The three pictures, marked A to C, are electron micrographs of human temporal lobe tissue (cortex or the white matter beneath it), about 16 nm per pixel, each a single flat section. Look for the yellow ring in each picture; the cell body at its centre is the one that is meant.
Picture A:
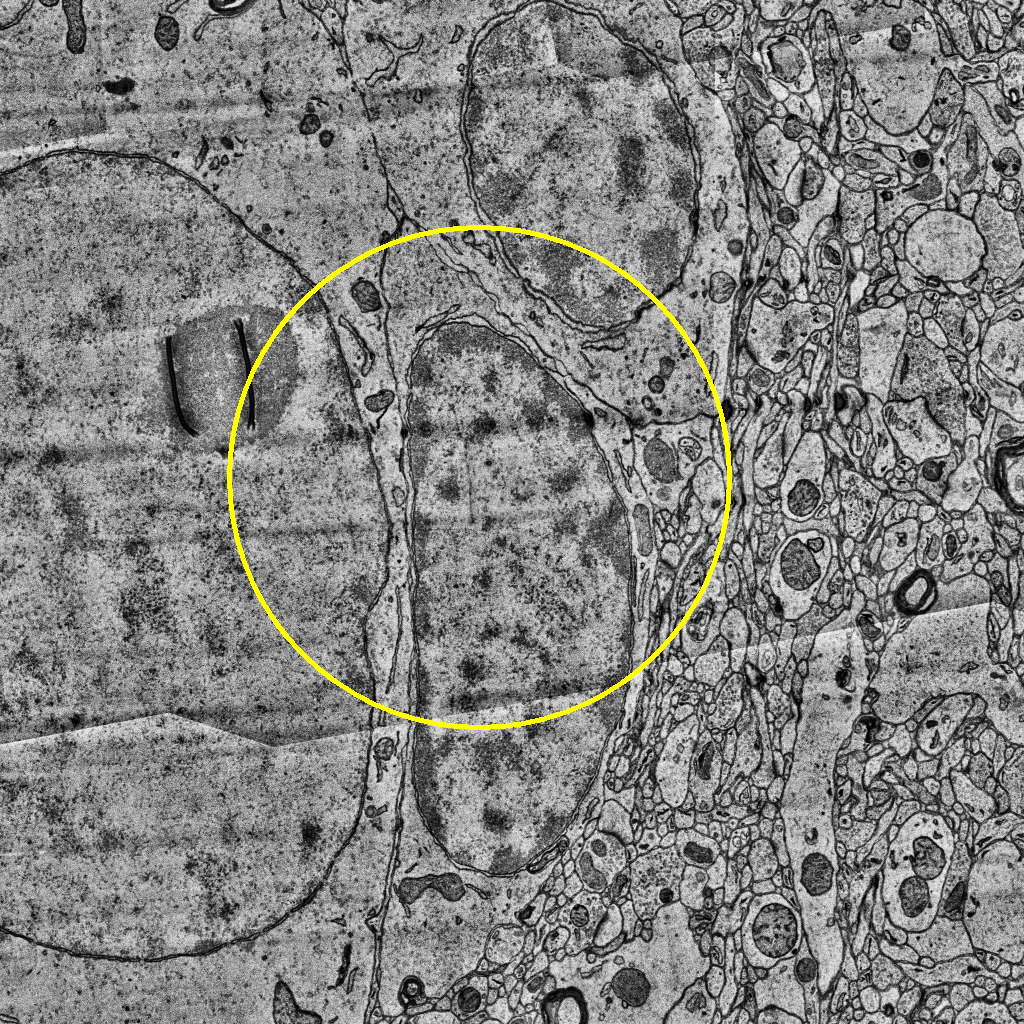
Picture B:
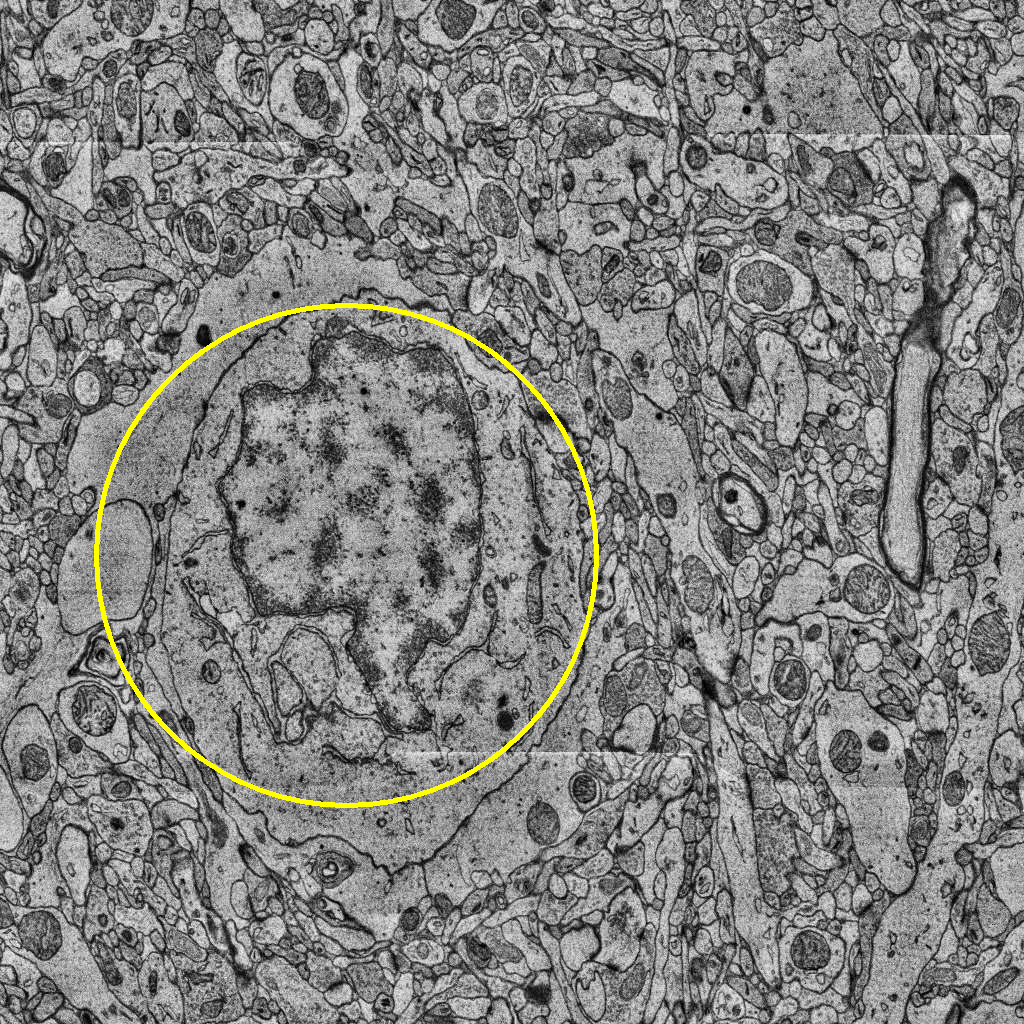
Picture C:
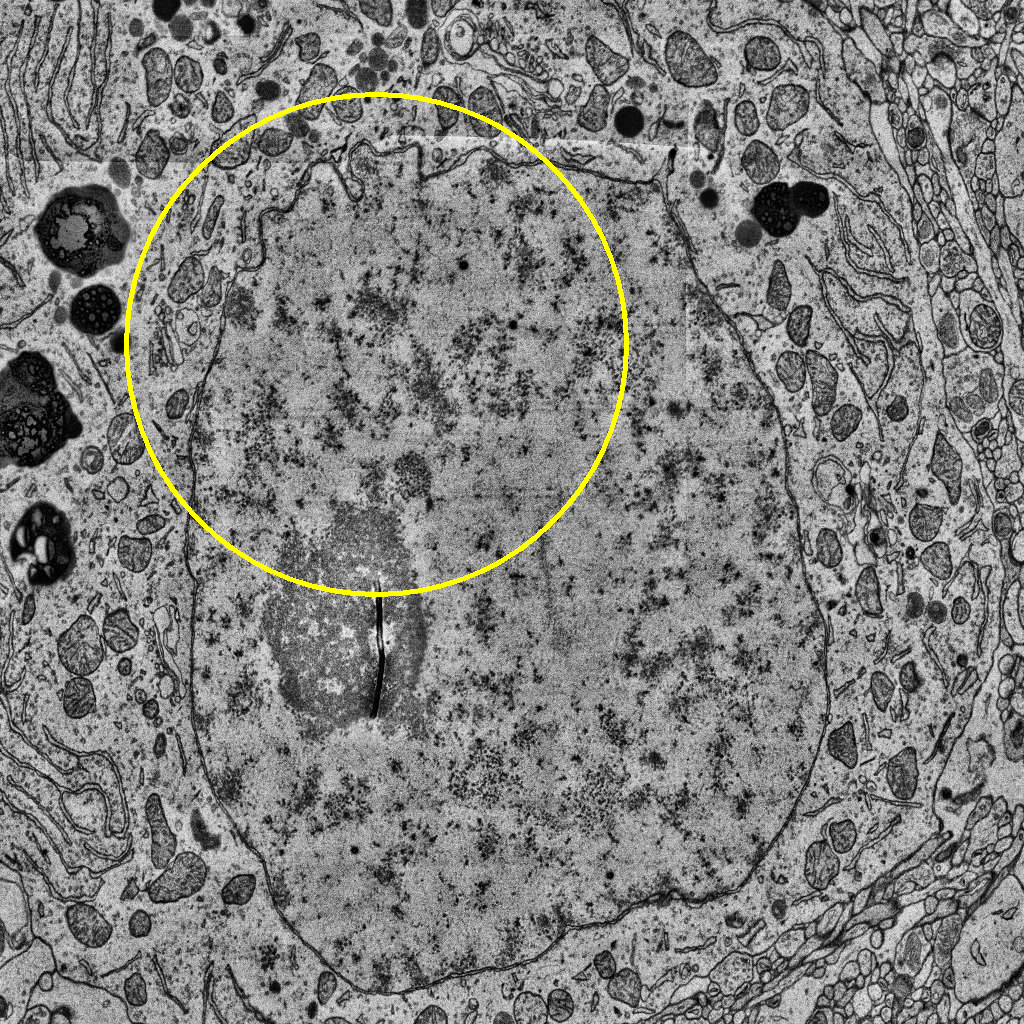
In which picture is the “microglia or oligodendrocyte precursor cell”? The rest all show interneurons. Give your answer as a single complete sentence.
Picture A is the one that shows the “microglia or oligodendrocyte precursor cell”.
